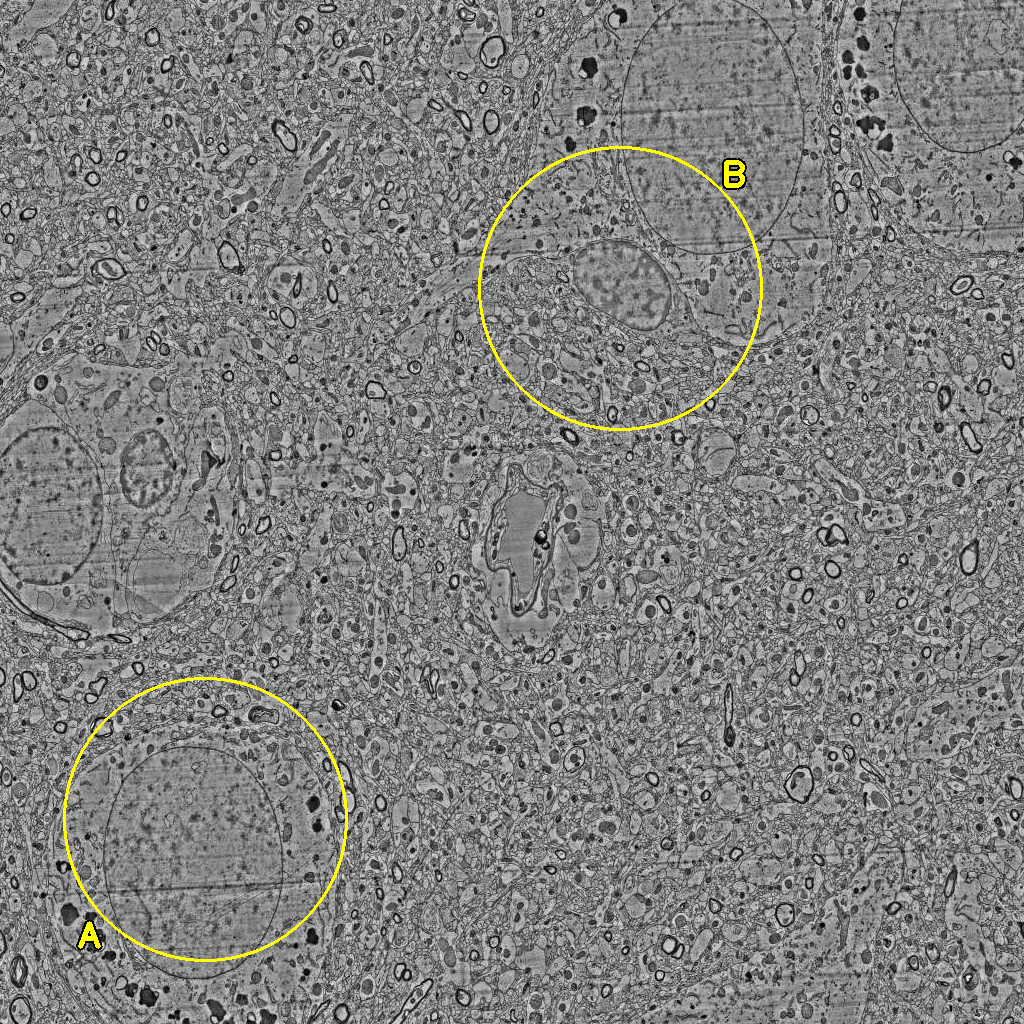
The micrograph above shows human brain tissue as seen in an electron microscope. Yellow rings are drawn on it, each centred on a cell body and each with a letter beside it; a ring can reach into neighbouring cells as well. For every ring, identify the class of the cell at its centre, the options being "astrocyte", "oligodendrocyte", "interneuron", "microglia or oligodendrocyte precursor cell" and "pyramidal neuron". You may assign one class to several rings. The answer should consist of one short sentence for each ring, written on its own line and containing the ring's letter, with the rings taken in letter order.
The ring lettered A is centred on a pyramidal neuron.
The ring lettered B is centred on an oligodendrocyte.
